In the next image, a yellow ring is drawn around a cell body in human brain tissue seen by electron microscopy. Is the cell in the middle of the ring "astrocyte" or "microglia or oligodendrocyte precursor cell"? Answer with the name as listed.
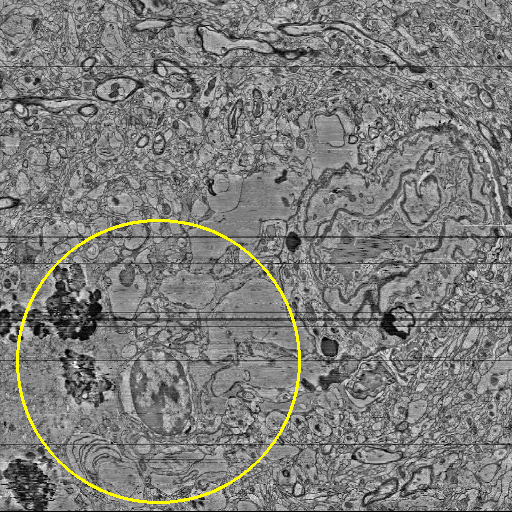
microglia or oligodendrocyte precursor cell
